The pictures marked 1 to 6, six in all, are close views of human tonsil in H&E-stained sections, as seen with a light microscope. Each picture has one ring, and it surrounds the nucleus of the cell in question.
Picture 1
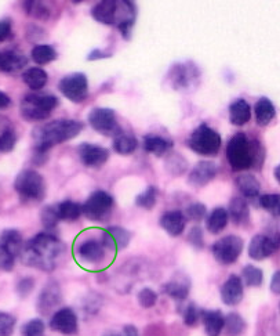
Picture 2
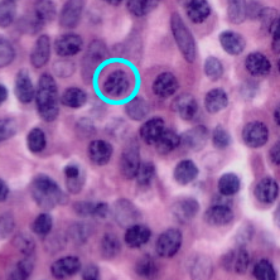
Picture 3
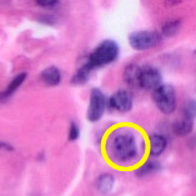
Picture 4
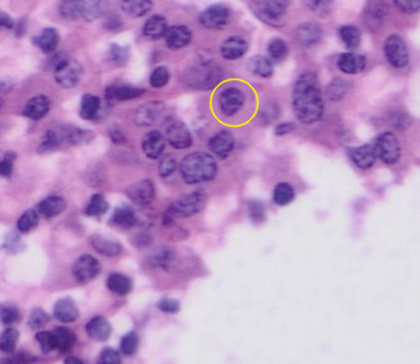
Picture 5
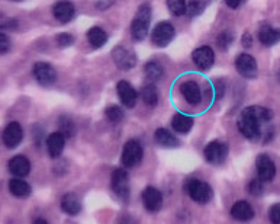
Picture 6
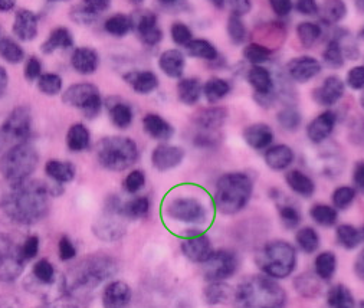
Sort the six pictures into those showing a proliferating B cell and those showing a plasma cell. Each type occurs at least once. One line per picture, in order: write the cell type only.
proliferating B cell
plasma cell
plasma cell
plasma cell
plasma cell
proliferating B cell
